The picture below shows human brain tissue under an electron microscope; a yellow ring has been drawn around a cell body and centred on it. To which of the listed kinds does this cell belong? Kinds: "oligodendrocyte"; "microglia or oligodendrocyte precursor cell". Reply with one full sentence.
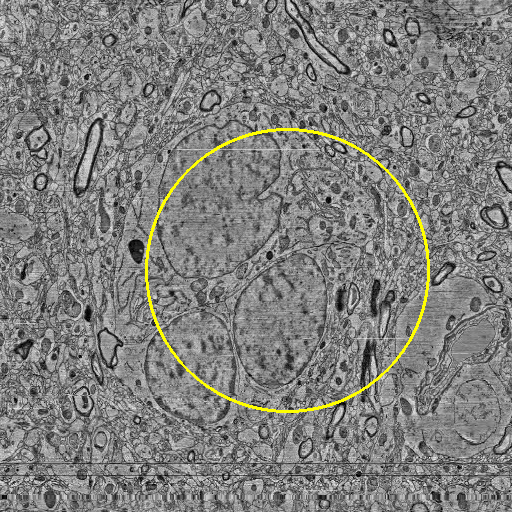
It is a microglial cell or oligodendrocyte precursor cell that the yellow ring in the picture is centred on.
